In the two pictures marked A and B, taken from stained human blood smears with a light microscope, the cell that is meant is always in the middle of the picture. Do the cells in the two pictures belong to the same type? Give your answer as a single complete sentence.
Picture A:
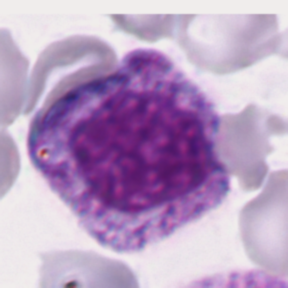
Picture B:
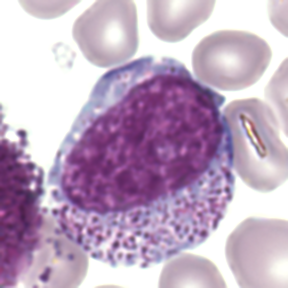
No, picture A shows a myelocyte and picture B shows a promyelocyte.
